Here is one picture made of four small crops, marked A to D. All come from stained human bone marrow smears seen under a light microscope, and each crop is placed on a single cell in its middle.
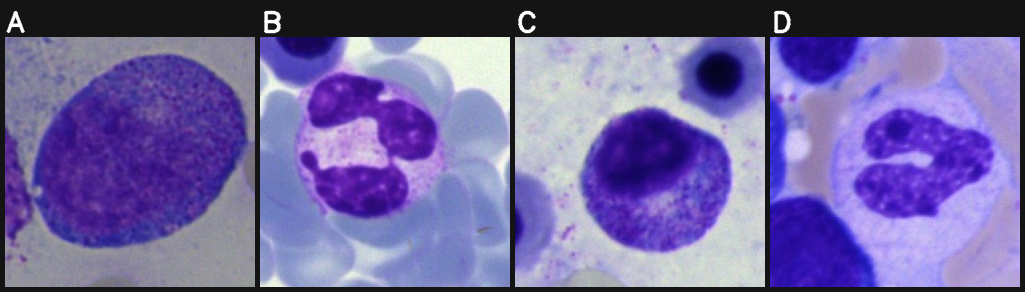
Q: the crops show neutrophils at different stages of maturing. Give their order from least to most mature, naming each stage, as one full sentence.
In terms of maturity, from lowest to highest, the order reads crop A (a promyelocyte), crop C (a myelocyte), crop D (a band neutrophil) and crop B (a segmented neutrophil).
